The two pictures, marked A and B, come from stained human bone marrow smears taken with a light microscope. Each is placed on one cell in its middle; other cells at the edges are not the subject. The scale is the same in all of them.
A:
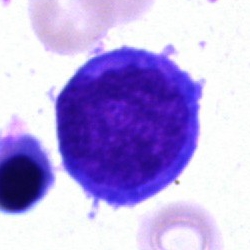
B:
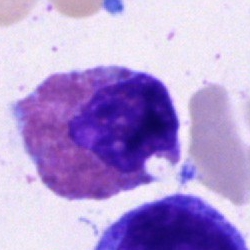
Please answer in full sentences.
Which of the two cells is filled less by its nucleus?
Of the two, the nucleus in crop B leaves more room for cytoplasm.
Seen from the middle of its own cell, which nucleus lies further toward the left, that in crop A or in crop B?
The nucleus in crop A lies further toward the left of its cell.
